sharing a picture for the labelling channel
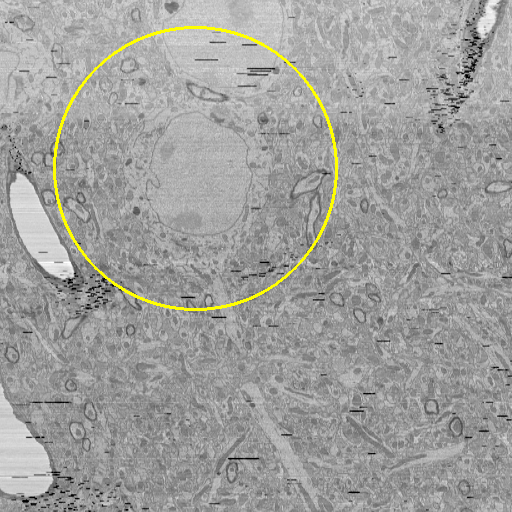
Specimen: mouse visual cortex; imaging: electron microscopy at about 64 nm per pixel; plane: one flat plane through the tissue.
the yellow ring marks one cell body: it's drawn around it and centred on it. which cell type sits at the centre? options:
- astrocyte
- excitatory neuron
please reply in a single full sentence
In the picture, the cell at the ring's centre is an excitatory neuron, going by the list.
